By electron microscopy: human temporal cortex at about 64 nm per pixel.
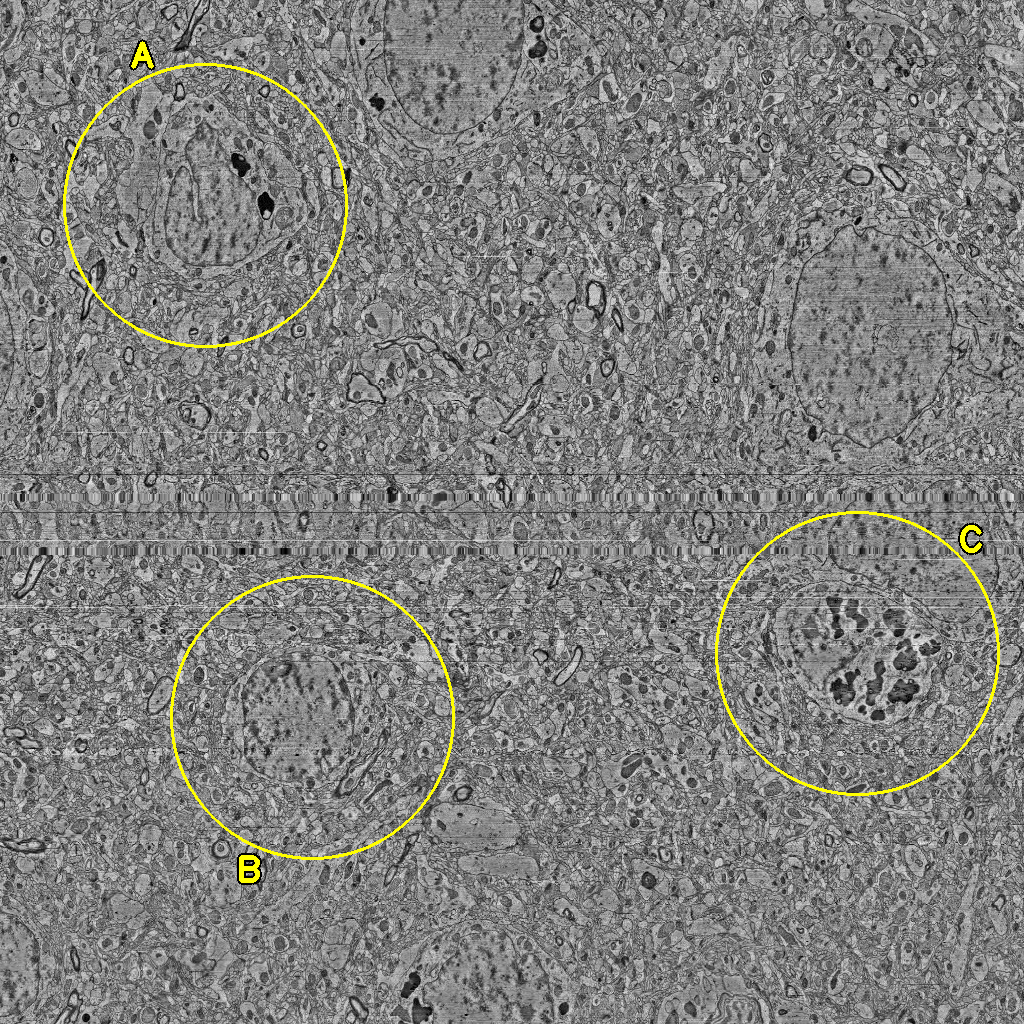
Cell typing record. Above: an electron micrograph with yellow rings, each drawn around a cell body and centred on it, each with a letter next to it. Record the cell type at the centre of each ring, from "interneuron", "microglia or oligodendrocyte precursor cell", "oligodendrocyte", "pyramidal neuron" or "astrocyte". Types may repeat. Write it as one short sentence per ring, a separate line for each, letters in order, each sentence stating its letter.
Ring A circles an interneuron.
Ring B circles an interneuron.
Ring C circles an interneuron.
